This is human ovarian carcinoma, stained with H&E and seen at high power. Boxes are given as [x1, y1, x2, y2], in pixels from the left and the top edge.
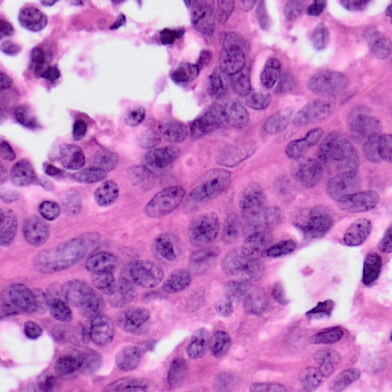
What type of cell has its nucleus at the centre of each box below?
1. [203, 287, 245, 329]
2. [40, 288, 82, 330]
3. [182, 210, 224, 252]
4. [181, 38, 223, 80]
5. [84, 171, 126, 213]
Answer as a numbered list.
1. macrophage or monocyte
2. carcinoma cell
3. carcinoma cell
4. carcinoma cell
5. macrophage or monocyte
